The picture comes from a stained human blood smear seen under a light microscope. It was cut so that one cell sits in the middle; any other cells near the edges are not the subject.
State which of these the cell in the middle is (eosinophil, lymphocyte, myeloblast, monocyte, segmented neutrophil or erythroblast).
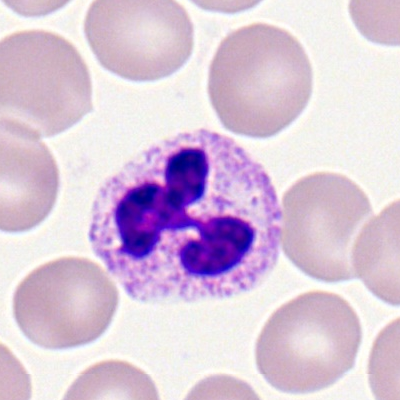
segmented neutrophil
